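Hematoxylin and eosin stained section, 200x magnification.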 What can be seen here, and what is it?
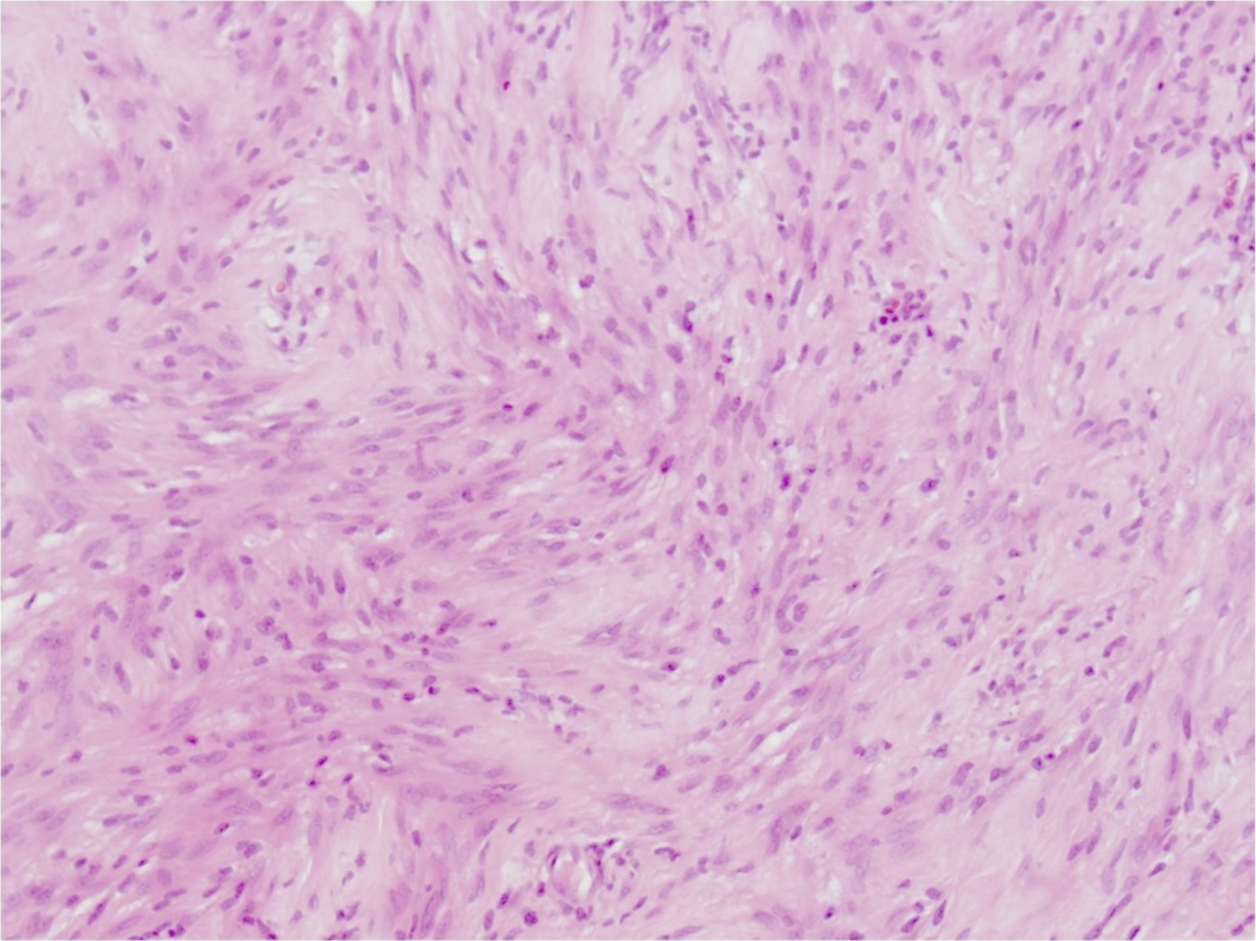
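The cells run in interlacing, swirling bundles, with more crowded areas alternating with looser areas in a pink collagenous background. A few small vessels are seen, some with small, dark, round cells gathered around them.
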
